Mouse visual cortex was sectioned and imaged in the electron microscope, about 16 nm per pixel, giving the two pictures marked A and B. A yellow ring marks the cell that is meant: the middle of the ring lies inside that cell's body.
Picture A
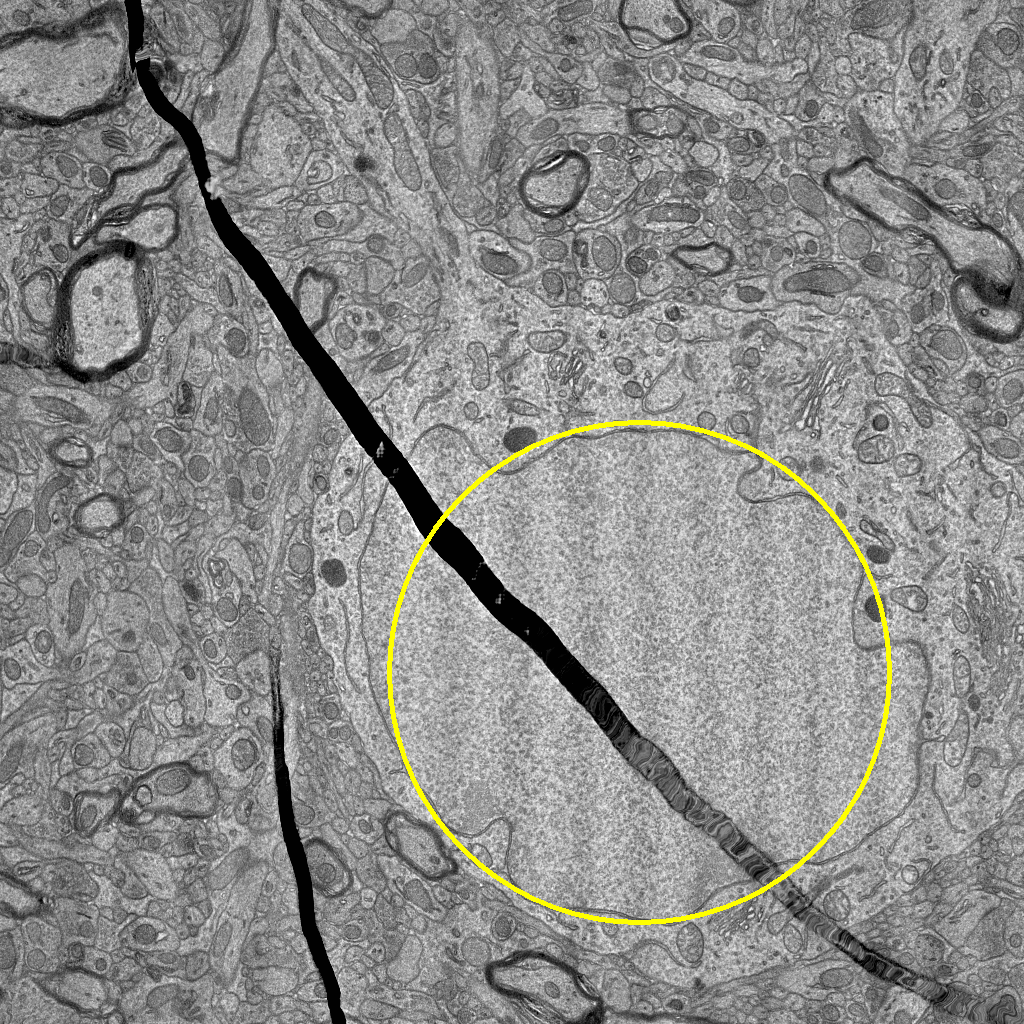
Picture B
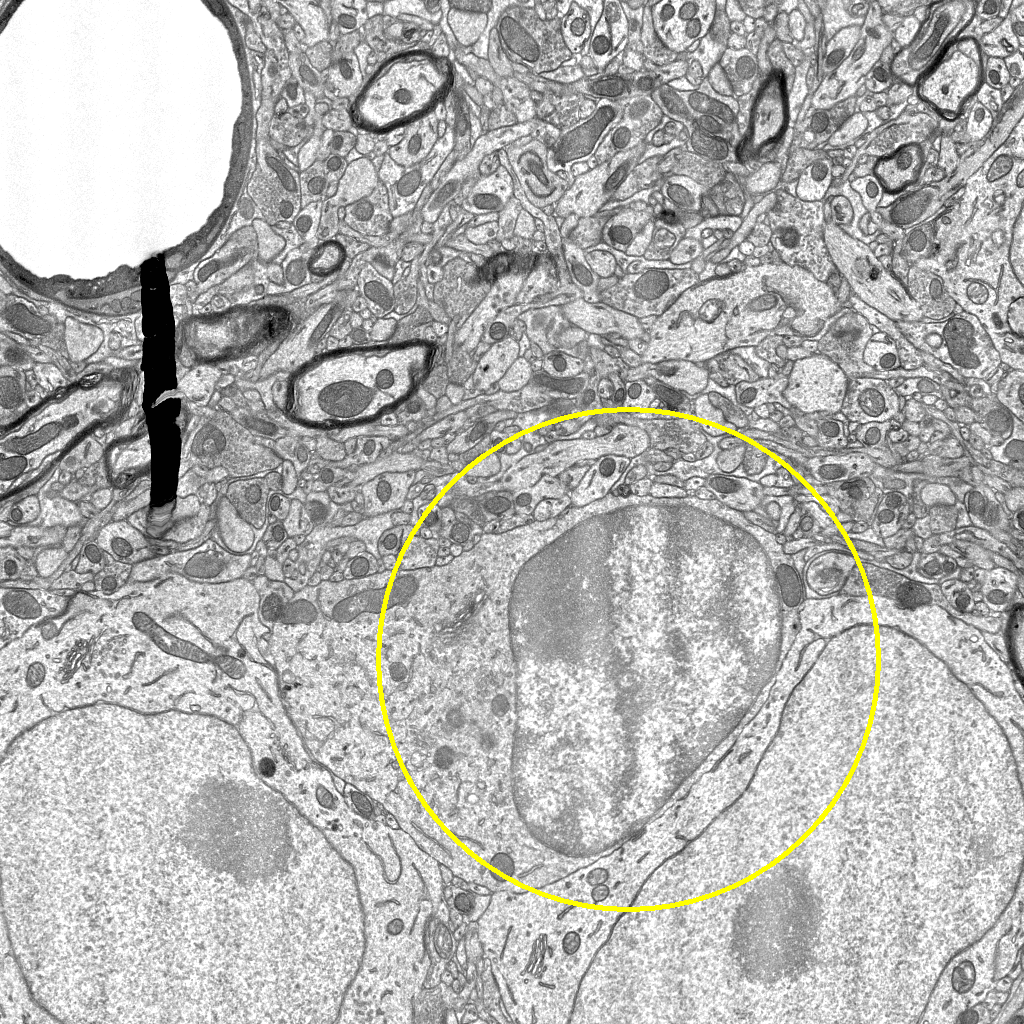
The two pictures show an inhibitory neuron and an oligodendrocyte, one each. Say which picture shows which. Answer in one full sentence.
Picture B shows an oligodendrocyte, while picture A shows an inhibitory neuron.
